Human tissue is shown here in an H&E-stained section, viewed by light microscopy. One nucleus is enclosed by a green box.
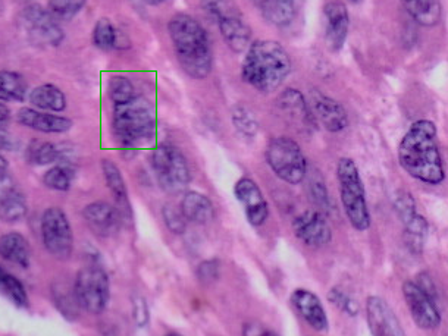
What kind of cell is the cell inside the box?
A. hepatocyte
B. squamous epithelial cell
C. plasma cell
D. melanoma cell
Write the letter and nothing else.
D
